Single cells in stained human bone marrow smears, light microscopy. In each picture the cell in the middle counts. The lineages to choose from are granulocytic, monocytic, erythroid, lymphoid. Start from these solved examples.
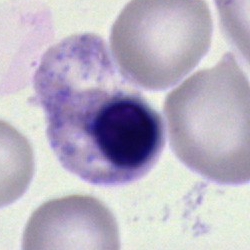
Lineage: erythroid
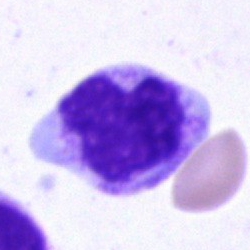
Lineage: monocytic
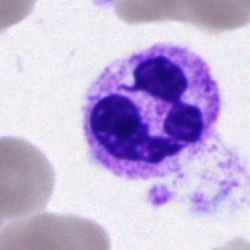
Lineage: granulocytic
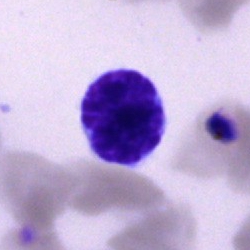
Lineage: lymphoid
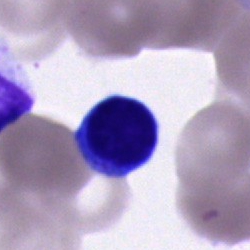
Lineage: lymphoid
